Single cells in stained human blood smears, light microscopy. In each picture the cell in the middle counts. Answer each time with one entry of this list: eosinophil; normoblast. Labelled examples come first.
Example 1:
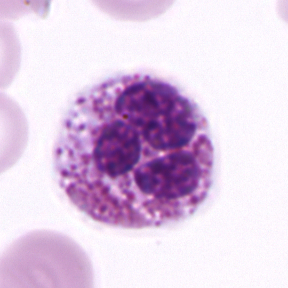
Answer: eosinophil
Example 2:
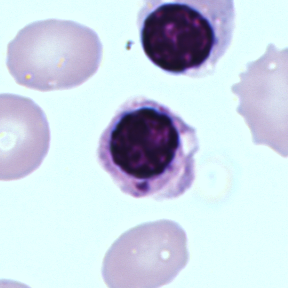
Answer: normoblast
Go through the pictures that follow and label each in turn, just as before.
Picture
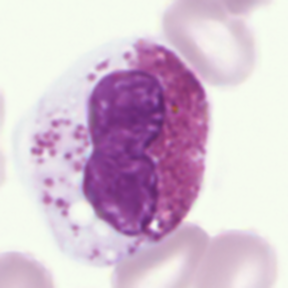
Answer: eosinophil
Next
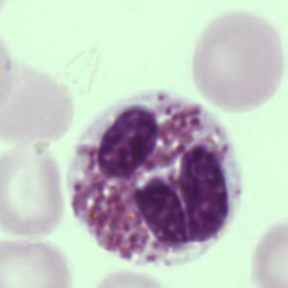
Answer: eosinophil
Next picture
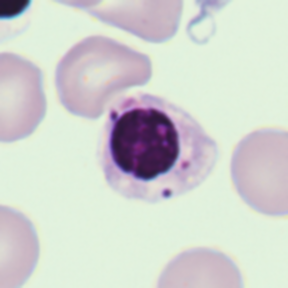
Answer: normoblast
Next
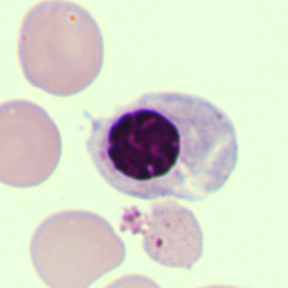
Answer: normoblast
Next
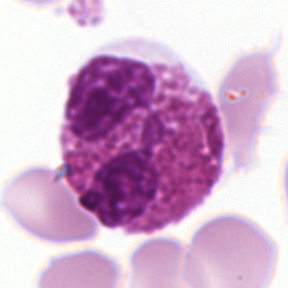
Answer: eosinophil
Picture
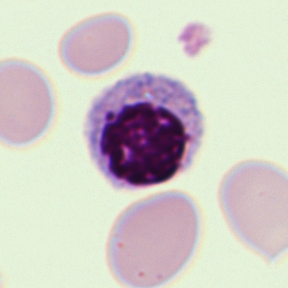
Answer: normoblast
